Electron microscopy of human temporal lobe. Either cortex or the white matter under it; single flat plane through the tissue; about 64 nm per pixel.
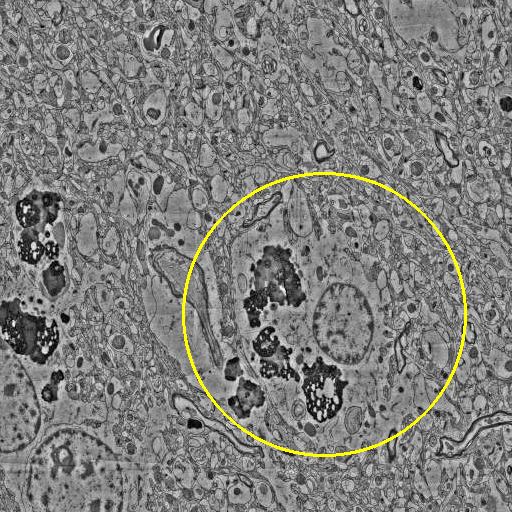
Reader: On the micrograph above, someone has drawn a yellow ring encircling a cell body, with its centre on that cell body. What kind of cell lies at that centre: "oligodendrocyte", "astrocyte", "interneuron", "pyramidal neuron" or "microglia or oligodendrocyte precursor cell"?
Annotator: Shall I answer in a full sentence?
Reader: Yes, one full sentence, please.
Here an astrocyte sits at the centre of the yellow ring drawn on the micrograph.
